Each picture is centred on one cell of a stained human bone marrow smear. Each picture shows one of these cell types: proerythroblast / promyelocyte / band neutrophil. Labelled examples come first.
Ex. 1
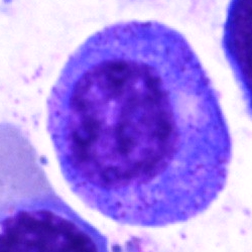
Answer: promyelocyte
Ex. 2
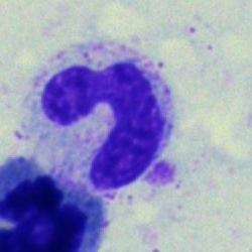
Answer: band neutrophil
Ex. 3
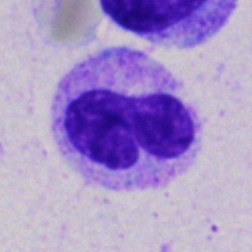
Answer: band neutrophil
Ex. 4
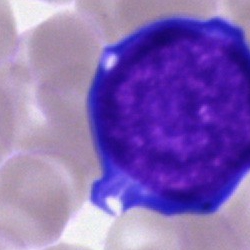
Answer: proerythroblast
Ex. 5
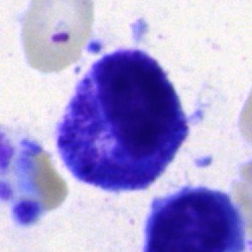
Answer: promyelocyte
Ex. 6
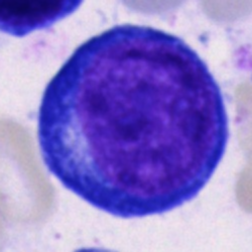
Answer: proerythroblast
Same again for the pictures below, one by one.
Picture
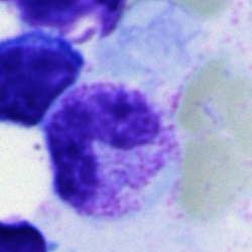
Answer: band neutrophil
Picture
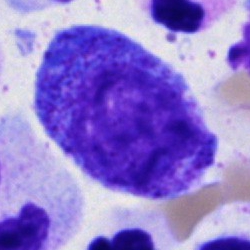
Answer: promyelocyte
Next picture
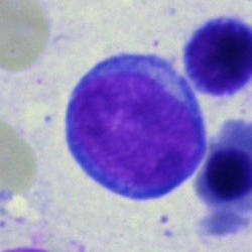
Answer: proerythroblast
